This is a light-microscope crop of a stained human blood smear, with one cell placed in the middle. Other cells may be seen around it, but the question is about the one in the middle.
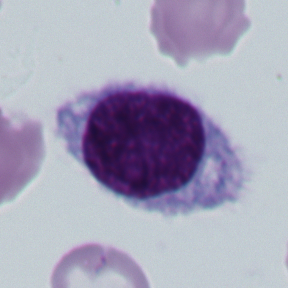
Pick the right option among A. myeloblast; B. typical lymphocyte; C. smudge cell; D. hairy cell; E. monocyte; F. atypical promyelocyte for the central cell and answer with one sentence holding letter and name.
Option D, which names the central cell as a hairy cell, is correct.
